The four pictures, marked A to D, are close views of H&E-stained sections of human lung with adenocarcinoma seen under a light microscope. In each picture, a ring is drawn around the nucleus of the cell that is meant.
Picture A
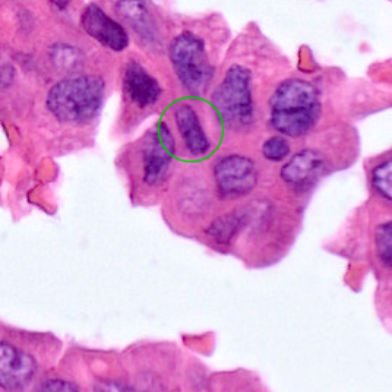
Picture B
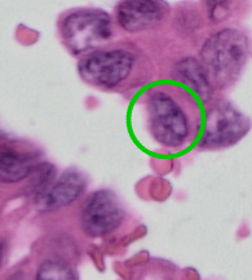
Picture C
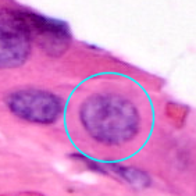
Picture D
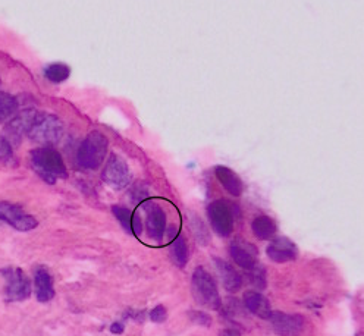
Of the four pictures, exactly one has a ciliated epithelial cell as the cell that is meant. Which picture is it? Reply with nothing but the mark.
D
